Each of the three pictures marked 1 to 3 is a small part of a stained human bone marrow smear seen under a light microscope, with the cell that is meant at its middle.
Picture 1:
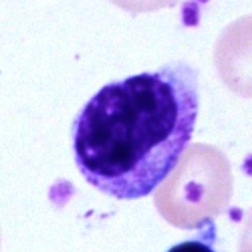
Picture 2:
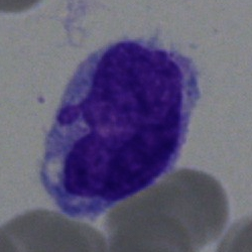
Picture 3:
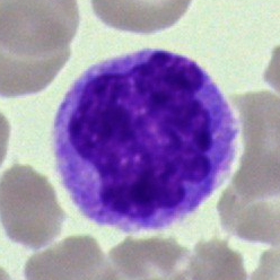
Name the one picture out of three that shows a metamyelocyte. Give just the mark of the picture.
1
